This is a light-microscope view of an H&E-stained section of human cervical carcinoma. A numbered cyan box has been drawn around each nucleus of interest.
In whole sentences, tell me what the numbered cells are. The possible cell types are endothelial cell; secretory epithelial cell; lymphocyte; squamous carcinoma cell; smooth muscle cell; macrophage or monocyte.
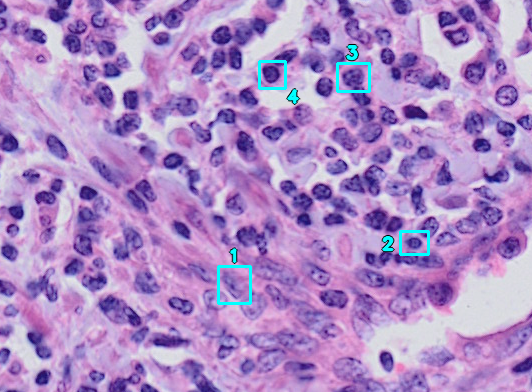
Cell 1 is an endothelial cell, cell 2 is a lymphocyte, cell 3 is a lymphocyte and cell 4 is a lymphocyte.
